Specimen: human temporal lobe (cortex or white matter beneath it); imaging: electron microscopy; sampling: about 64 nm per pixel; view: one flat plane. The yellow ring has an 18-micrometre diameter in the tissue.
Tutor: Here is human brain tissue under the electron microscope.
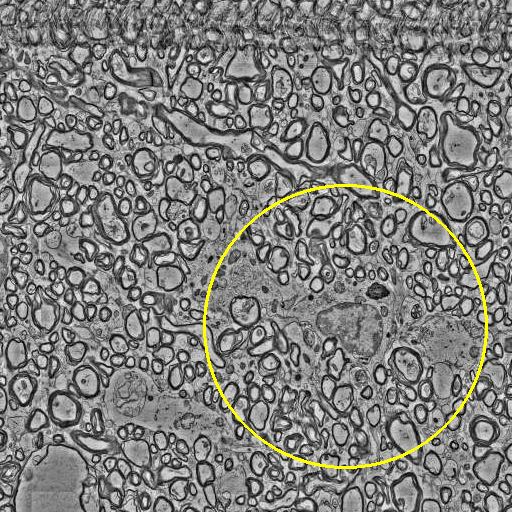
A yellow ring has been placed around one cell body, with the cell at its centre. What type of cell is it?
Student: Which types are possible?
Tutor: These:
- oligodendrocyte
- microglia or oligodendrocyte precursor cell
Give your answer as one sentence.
What the ring picks out here is a microglial cell or oligodendrocyte precursor cell.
